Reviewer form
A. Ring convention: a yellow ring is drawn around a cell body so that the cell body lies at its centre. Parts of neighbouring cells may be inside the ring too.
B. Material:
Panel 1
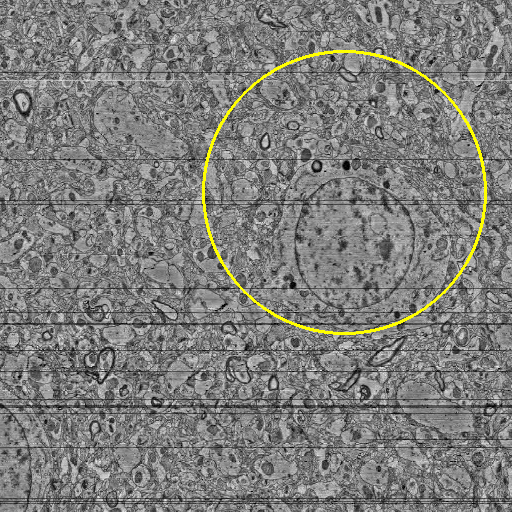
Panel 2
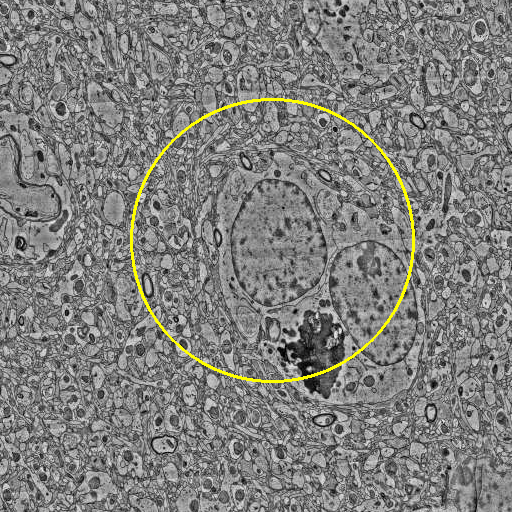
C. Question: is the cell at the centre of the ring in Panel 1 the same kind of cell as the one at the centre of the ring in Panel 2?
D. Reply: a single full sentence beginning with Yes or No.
No, the cells in Panel 1 and Panel 2 are two kinds of cell.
